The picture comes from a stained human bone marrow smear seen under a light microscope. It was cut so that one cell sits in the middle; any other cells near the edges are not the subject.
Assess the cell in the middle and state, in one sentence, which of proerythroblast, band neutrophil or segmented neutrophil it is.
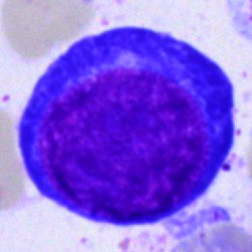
The center cell of this crop is a proerythroblast.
